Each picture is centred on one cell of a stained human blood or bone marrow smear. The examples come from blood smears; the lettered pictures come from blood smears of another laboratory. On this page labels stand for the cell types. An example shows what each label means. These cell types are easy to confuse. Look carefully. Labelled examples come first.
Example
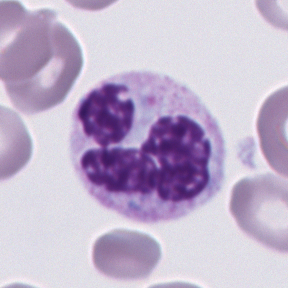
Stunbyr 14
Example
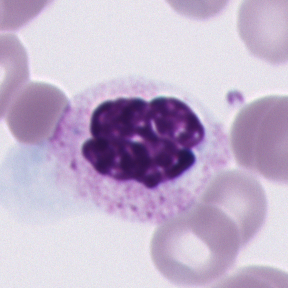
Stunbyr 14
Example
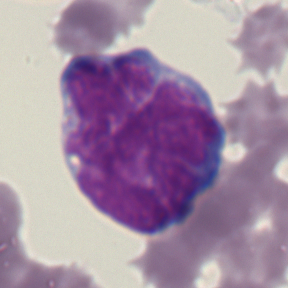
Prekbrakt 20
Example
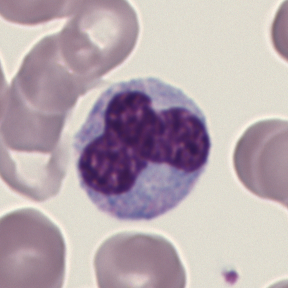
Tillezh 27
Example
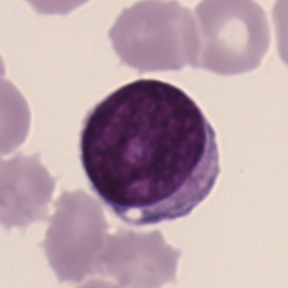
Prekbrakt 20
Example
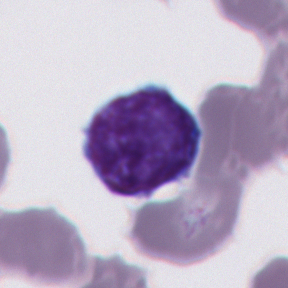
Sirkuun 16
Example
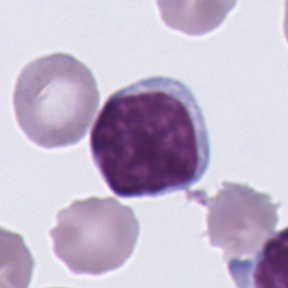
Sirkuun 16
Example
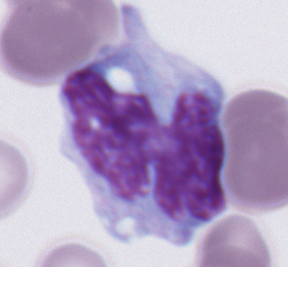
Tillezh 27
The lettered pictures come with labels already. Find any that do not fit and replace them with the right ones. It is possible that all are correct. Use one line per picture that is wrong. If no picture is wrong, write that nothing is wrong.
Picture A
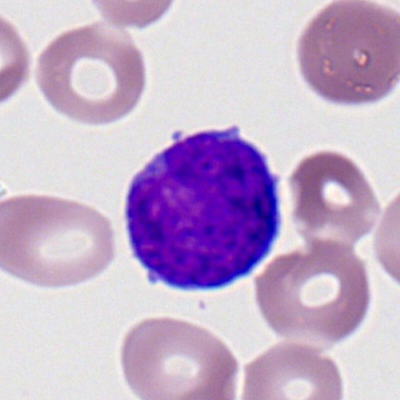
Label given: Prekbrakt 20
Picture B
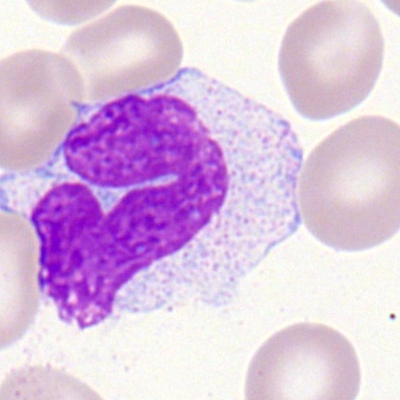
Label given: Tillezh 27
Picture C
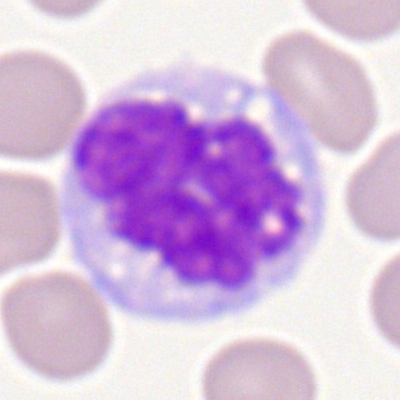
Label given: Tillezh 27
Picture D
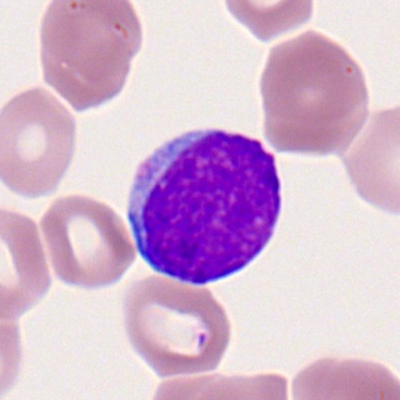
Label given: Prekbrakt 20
D is labelled Prekbrakt 20; correct label: Sirkuun 16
